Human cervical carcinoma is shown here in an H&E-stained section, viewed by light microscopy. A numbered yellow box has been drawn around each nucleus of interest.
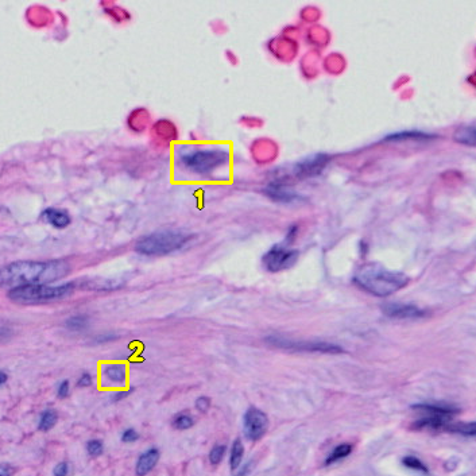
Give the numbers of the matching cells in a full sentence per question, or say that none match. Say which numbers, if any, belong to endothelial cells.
The nucleus labelled 1 alone belongs to an endothelial cell; the other marked nuclei do not.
